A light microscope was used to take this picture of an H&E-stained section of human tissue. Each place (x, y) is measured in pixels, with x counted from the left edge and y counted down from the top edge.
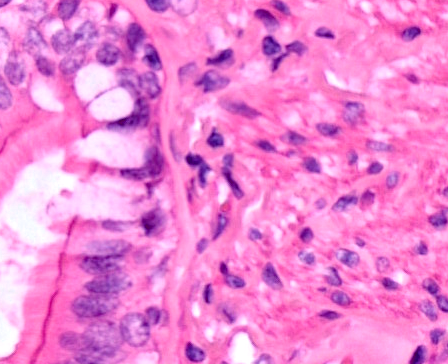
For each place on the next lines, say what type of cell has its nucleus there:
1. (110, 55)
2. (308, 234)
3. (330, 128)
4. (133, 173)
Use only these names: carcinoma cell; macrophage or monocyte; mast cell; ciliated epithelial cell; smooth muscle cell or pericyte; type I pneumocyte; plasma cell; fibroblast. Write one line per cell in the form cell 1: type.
cell 1: ciliated epithelial cell
cell 2: smooth muscle cell or pericyte
cell 3: smooth muscle cell or pericyte
cell 4: ciliated epithelial cell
